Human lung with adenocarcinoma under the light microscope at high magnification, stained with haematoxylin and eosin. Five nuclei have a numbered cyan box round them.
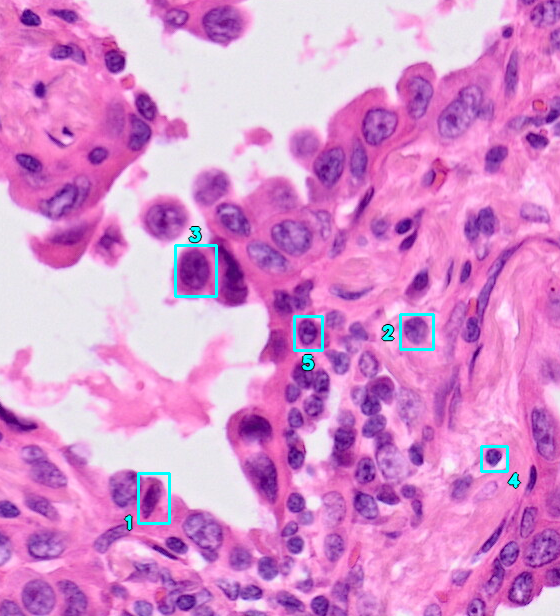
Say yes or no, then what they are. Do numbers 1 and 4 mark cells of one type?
No, cell 4 is a lymphocyte, and cell 1 is a carcinoma cell.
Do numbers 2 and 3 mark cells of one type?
No, cell 2 is identified as a plasma cell, and cell 3 is identified as a carcinoma cell.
